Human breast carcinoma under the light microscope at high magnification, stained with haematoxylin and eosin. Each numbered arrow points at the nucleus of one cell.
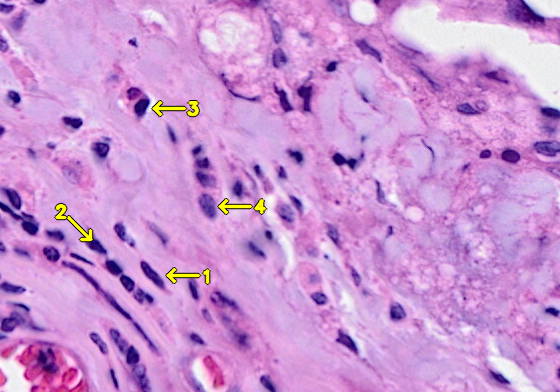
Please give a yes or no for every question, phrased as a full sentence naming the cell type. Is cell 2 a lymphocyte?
Yes, the cell referred to as number 2 is a lymphocyte.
